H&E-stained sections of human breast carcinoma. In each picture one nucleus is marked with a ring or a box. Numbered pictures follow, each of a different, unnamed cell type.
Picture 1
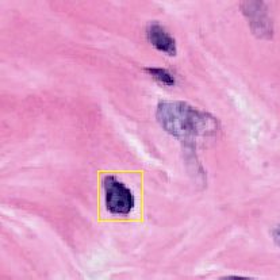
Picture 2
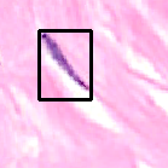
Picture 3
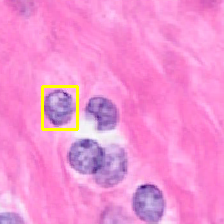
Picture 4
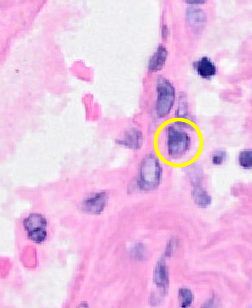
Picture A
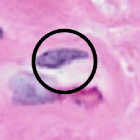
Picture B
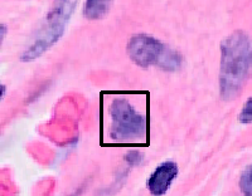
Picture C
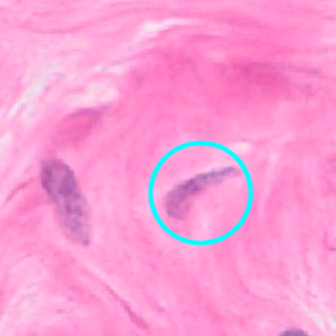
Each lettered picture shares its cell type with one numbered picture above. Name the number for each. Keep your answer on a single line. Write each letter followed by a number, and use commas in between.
A 4, B 4, C 2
